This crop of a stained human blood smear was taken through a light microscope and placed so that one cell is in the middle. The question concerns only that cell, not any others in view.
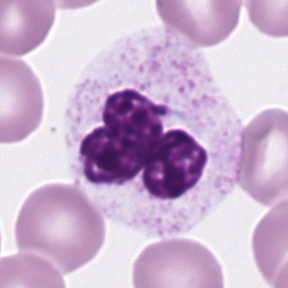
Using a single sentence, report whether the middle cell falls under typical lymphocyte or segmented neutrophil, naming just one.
The centrally located cell in the crop is a segmented neutrophil.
